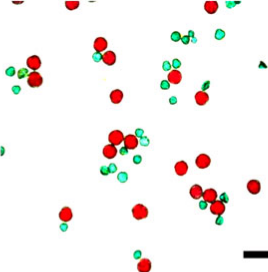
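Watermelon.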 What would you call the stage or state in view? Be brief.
Semisterile.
